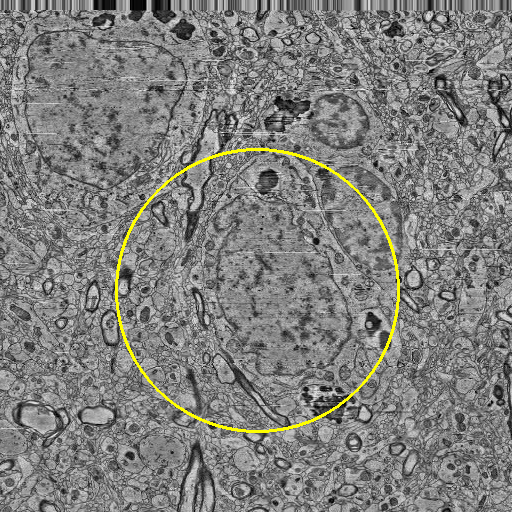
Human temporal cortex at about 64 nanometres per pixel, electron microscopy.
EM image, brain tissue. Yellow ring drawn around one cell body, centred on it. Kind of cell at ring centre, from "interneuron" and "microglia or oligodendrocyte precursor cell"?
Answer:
interneuron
